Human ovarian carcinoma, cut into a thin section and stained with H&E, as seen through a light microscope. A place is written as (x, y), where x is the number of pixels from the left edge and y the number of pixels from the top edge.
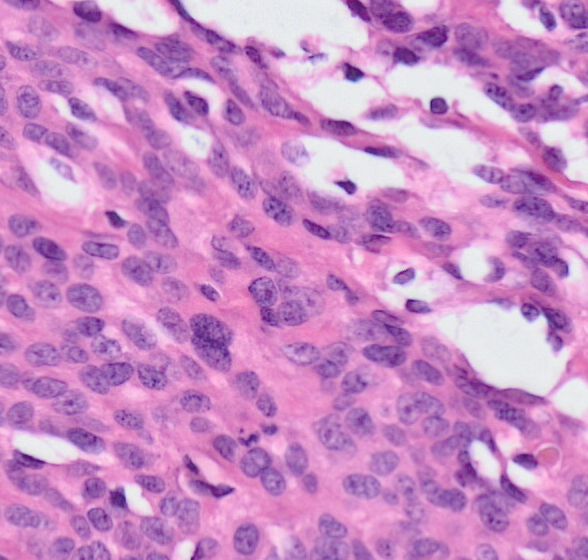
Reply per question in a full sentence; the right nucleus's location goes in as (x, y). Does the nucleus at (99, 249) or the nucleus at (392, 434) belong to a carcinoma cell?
The nucleus of a carcinoma cell is the one found at (392, 434), not the other.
